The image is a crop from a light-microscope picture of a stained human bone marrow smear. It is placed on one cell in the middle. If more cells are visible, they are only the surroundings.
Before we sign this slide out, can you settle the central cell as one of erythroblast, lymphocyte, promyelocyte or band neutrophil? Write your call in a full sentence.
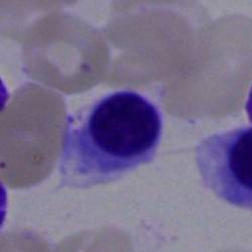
On this slide crop, the central cell is an erythroblast.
